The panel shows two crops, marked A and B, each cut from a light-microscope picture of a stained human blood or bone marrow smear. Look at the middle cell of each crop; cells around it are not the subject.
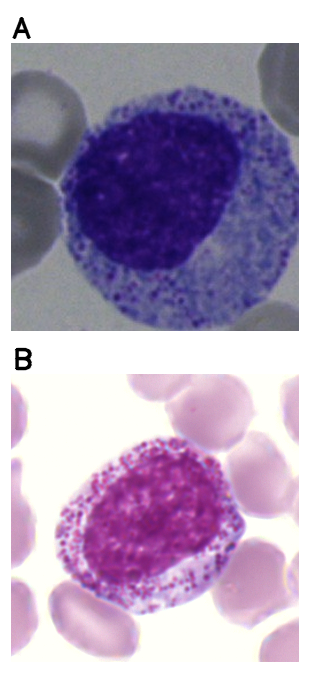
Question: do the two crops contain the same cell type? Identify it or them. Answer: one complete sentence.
Yes, in the middle of both crops, myelocytes are shown.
